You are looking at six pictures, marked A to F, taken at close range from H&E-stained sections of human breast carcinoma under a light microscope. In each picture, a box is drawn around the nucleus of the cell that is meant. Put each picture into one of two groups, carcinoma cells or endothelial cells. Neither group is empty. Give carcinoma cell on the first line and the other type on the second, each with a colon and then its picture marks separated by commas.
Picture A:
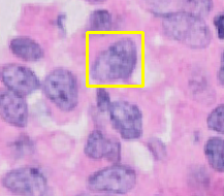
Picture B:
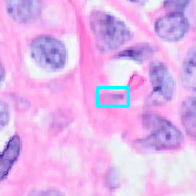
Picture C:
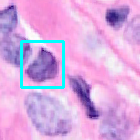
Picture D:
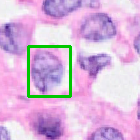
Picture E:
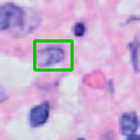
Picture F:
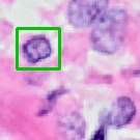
carcinoma cell: A, C, D, F
endothelial cell: B, E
